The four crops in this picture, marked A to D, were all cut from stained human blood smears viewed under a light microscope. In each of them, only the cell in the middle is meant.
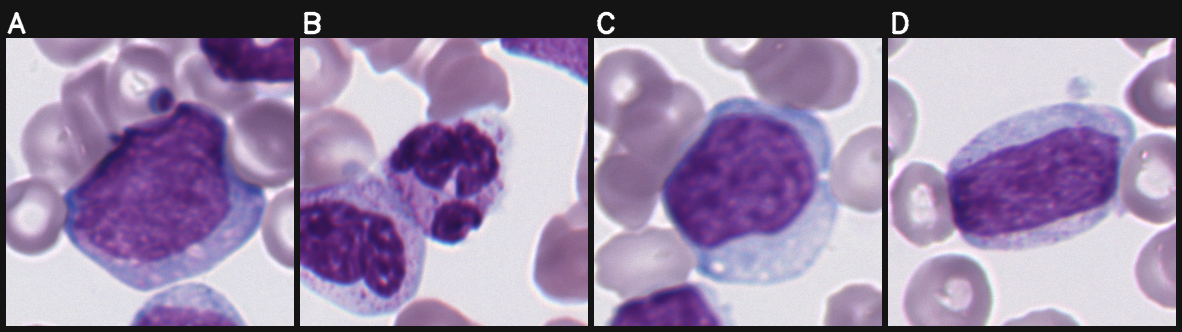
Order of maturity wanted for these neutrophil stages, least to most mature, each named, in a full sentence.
In ascending maturational order, the crops are crop C (a myeloblast), crop A (a promyelocyte), crop D (a myelocyte) and crop B (a segmented neutrophil).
